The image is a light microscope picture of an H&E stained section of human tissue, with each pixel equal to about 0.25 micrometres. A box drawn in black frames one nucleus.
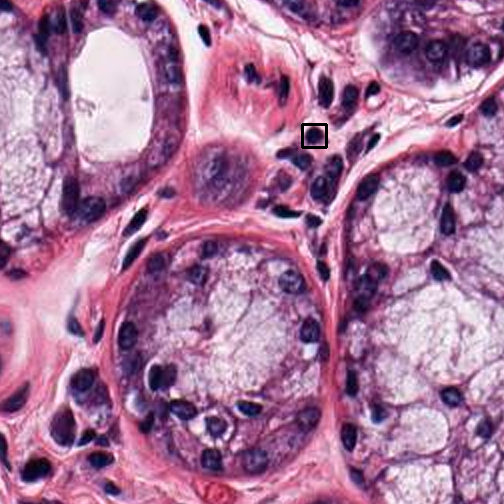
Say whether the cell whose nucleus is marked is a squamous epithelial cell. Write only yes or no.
no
